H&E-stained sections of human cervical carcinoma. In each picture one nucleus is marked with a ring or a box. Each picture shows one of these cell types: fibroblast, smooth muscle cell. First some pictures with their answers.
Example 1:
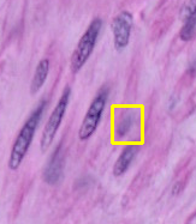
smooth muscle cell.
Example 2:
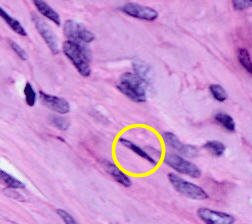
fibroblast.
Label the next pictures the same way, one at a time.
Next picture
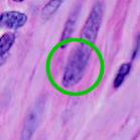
smooth muscle cell.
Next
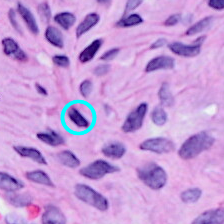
fibroblast.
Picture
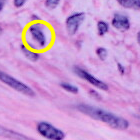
smooth muscle cell.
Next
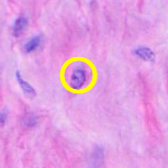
smooth muscle cell.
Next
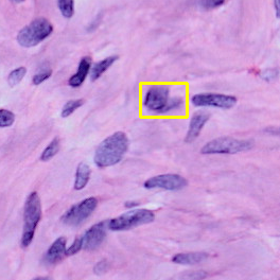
fibroblast.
